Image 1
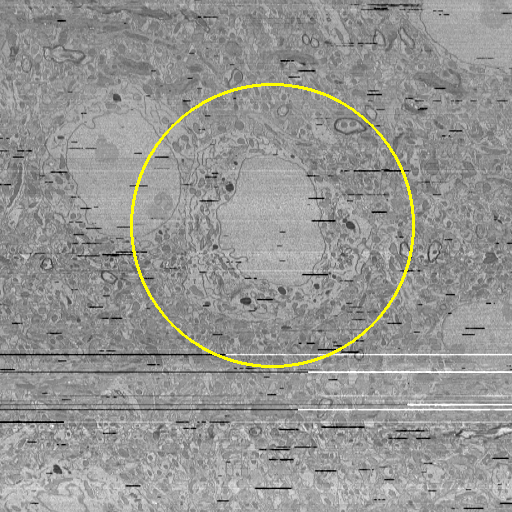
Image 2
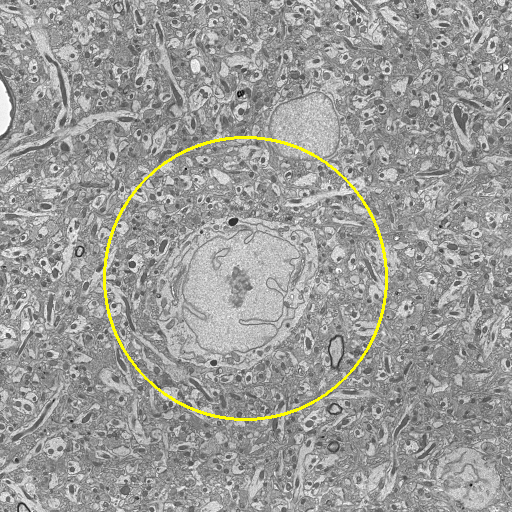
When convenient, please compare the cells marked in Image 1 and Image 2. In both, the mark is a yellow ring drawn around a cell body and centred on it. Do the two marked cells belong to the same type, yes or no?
yes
